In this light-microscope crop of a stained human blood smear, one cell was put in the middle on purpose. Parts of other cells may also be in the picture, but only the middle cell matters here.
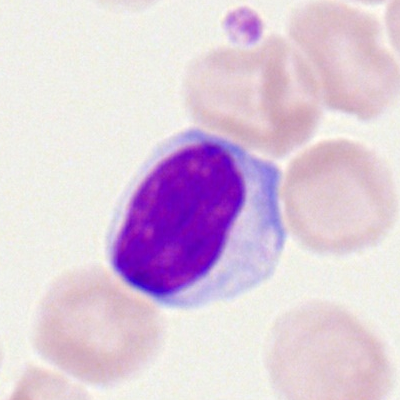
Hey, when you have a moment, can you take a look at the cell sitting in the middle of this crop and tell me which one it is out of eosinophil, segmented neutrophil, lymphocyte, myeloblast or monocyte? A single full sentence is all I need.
Among the cells in view, the one in the middle is a lymphocyte.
